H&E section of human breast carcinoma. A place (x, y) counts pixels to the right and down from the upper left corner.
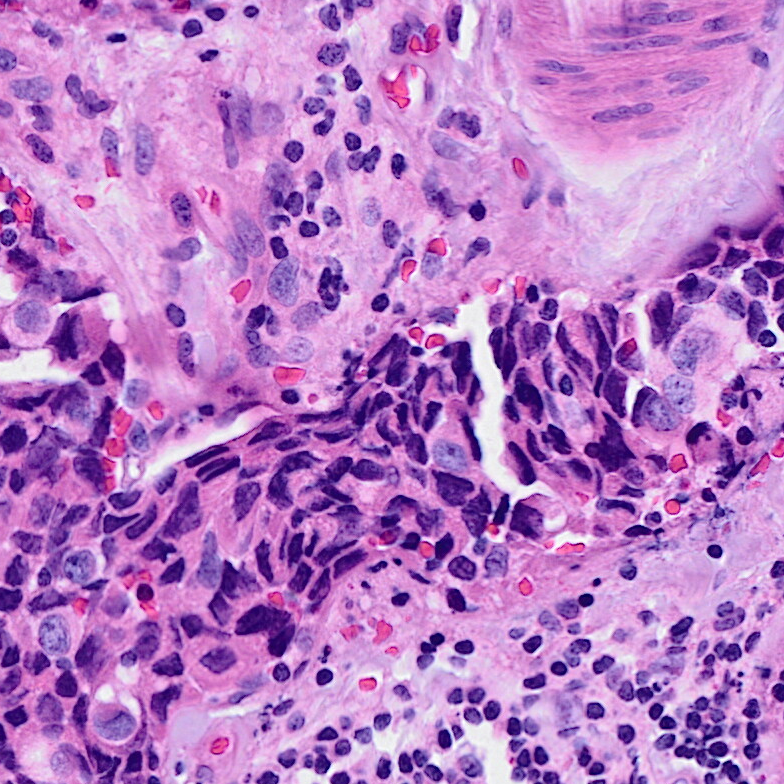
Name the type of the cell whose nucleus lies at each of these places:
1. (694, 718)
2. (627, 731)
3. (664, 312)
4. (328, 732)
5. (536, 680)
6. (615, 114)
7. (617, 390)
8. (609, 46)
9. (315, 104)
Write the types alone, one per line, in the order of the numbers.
lymphocyte
lymphocyte
carcinoma cell
lymphocyte
lymphocyte
endothelial cell
carcinoma cell
endothelial cell
lymphocyte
